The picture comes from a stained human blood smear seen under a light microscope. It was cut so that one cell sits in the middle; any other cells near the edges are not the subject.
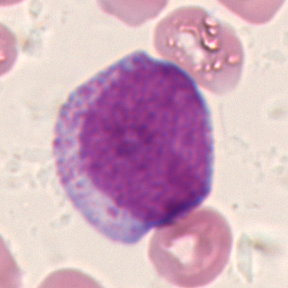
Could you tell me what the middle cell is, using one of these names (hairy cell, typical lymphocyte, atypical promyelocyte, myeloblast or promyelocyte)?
promyelocyte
